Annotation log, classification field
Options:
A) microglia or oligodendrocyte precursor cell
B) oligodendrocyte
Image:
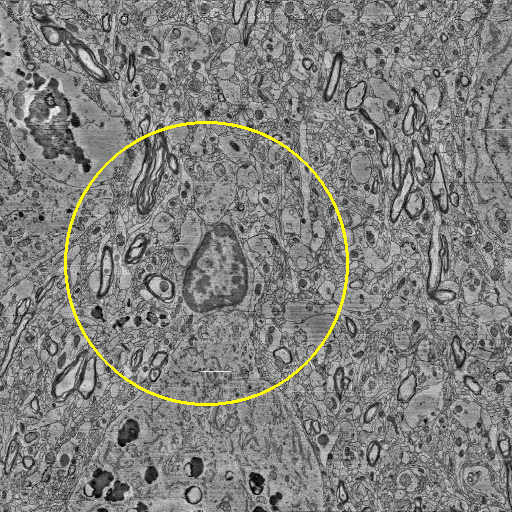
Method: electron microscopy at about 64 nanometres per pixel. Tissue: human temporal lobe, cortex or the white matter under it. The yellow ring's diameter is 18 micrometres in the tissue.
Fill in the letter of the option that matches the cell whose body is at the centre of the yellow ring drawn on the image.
A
